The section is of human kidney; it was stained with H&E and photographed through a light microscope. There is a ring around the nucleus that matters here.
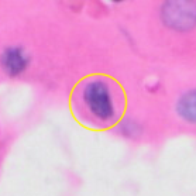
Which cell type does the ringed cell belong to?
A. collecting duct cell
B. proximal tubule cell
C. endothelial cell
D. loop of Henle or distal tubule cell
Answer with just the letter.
D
